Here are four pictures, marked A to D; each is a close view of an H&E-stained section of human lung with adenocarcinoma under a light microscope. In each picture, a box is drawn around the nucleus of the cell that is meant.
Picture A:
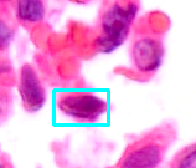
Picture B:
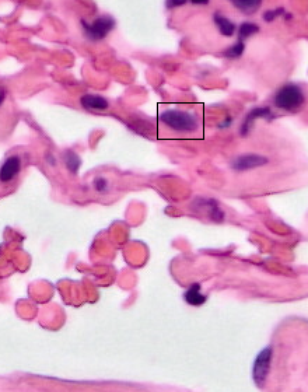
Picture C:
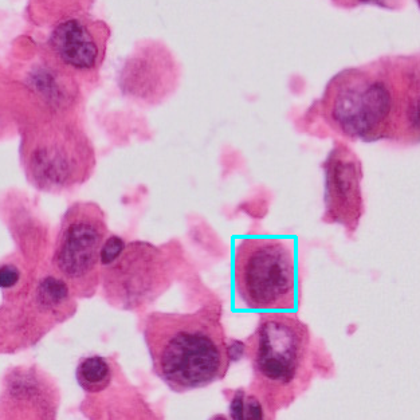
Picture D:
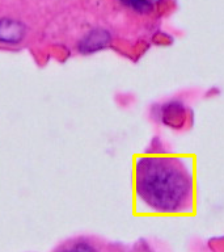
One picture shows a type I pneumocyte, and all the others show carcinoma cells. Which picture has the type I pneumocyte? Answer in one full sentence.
The type I pneumocyte is the one in picture B.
